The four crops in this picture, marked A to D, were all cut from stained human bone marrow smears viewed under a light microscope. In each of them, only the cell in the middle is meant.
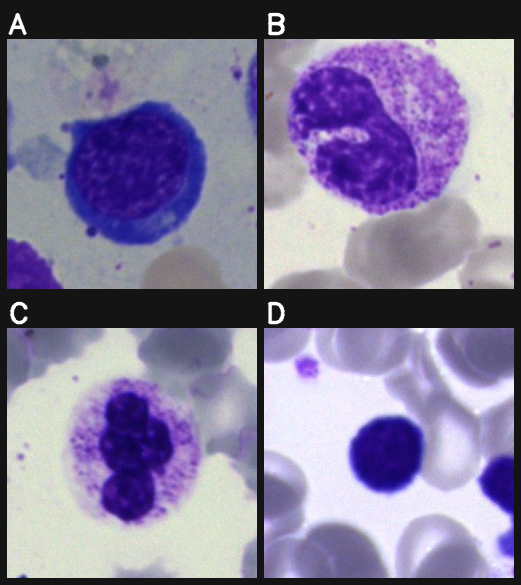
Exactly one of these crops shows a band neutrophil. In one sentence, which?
Crop B is the one depicting a band neutrophil.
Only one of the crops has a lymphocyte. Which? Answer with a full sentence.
Crop D, of the crops presented, is the one showing a lymphocyte.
